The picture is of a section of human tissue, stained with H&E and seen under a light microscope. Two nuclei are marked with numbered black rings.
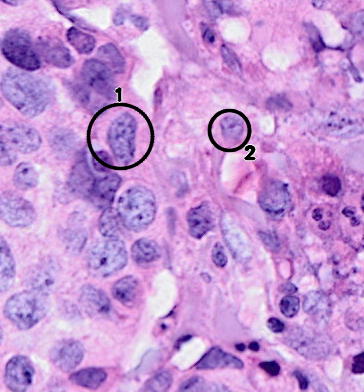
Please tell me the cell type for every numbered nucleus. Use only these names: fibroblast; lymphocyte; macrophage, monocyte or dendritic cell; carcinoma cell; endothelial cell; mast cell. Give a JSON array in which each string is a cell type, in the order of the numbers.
["carcinoma cell", "macrophage, monocyte or dendritic cell"]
